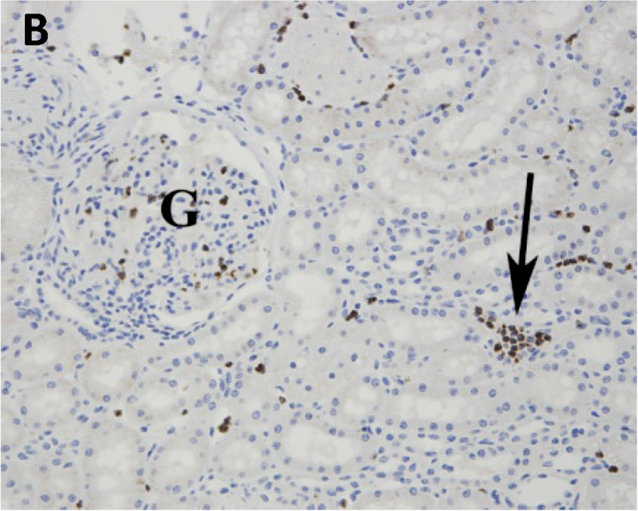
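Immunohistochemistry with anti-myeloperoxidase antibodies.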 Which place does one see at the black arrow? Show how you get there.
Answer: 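The arrow points to a cluster of brown-stained cells. The cluster lies in the narrow space between tubules, outside the glomerulus.
Conclusion: interstitium/peritubular capillaries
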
